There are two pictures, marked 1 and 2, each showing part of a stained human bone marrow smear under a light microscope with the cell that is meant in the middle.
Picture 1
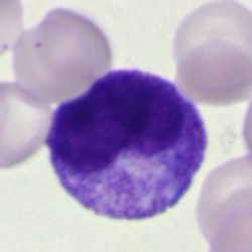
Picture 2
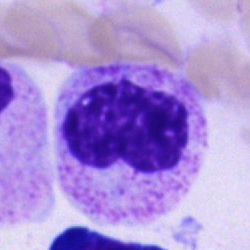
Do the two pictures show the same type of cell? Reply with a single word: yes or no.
yes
